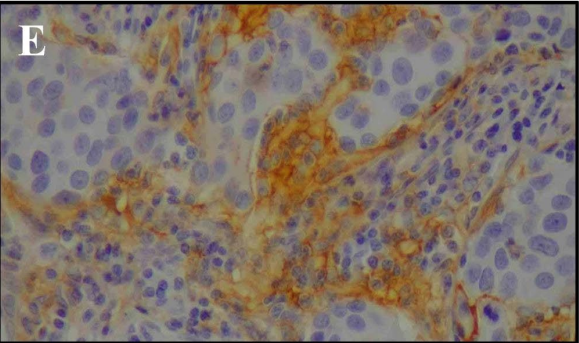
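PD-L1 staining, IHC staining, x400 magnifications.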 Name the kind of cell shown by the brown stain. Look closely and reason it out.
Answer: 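Brown stain lies in the stroma between nests of large pale tumor cells. Stained cells in the stroma are small with dark round nuclei. The large tumor cells in the nests are mostly unstained.
Conclusion: inflammatory cells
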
